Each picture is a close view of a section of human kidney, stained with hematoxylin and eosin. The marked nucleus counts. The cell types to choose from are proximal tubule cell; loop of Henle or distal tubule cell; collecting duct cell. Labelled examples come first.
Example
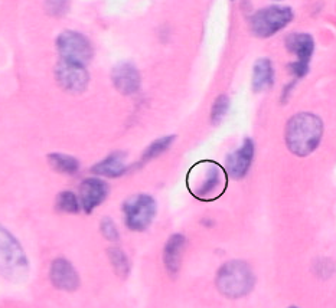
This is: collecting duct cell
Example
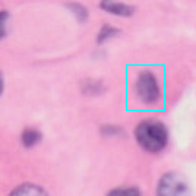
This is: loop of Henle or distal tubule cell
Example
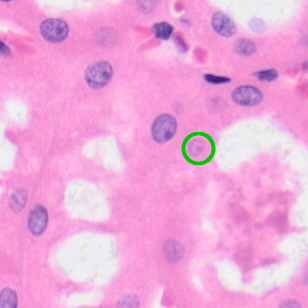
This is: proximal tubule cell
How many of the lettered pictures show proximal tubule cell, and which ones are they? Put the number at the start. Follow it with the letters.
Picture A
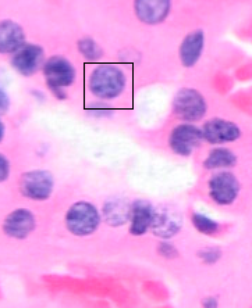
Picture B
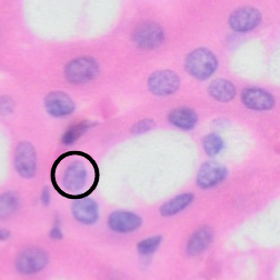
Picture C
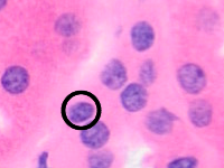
0, none of them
